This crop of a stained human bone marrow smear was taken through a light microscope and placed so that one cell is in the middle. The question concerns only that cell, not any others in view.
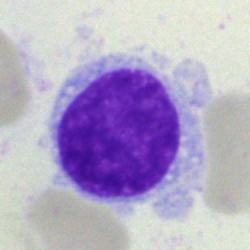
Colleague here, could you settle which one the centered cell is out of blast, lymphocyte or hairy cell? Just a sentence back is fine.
This crop has a hairy cell at its centre.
